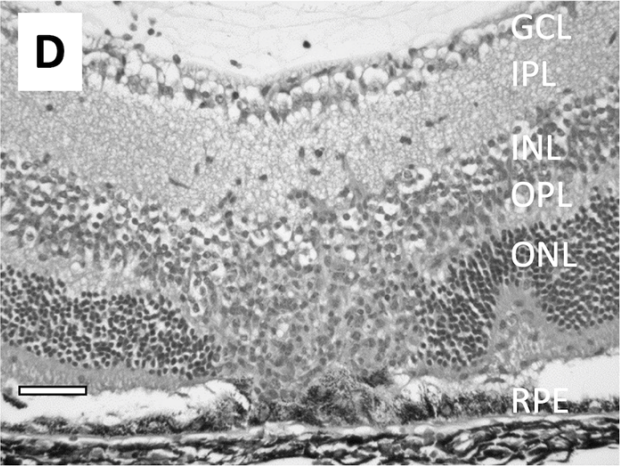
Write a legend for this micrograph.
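This cross-section of retina shows its layered order badly broken in one region, where the outer nuclear layer of densely packed dark nuclei is interrupted and inner layers sag into a disorganized mass of paler cells reaching the back of the retina. Beneath this region the pigmented epithelium is broken up into irregular dark pigment clumps, and the pale band of photoreceptor segments is missing there. A few round dark cells lie in the clear space above the inner surface.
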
